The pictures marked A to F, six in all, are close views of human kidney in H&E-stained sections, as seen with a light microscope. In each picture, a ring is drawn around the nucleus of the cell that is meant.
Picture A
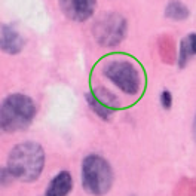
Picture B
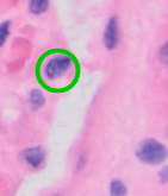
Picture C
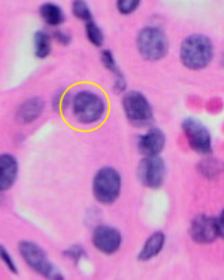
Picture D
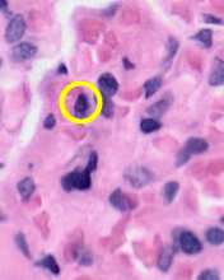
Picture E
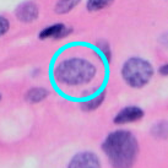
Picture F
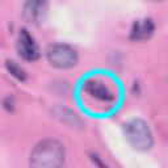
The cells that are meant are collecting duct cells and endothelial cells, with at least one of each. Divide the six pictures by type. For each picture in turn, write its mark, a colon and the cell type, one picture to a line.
A: collecting duct cell
B: endothelial cell
C: collecting duct cell
D: endothelial cell
E: collecting duct cell
F: collecting duct cell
